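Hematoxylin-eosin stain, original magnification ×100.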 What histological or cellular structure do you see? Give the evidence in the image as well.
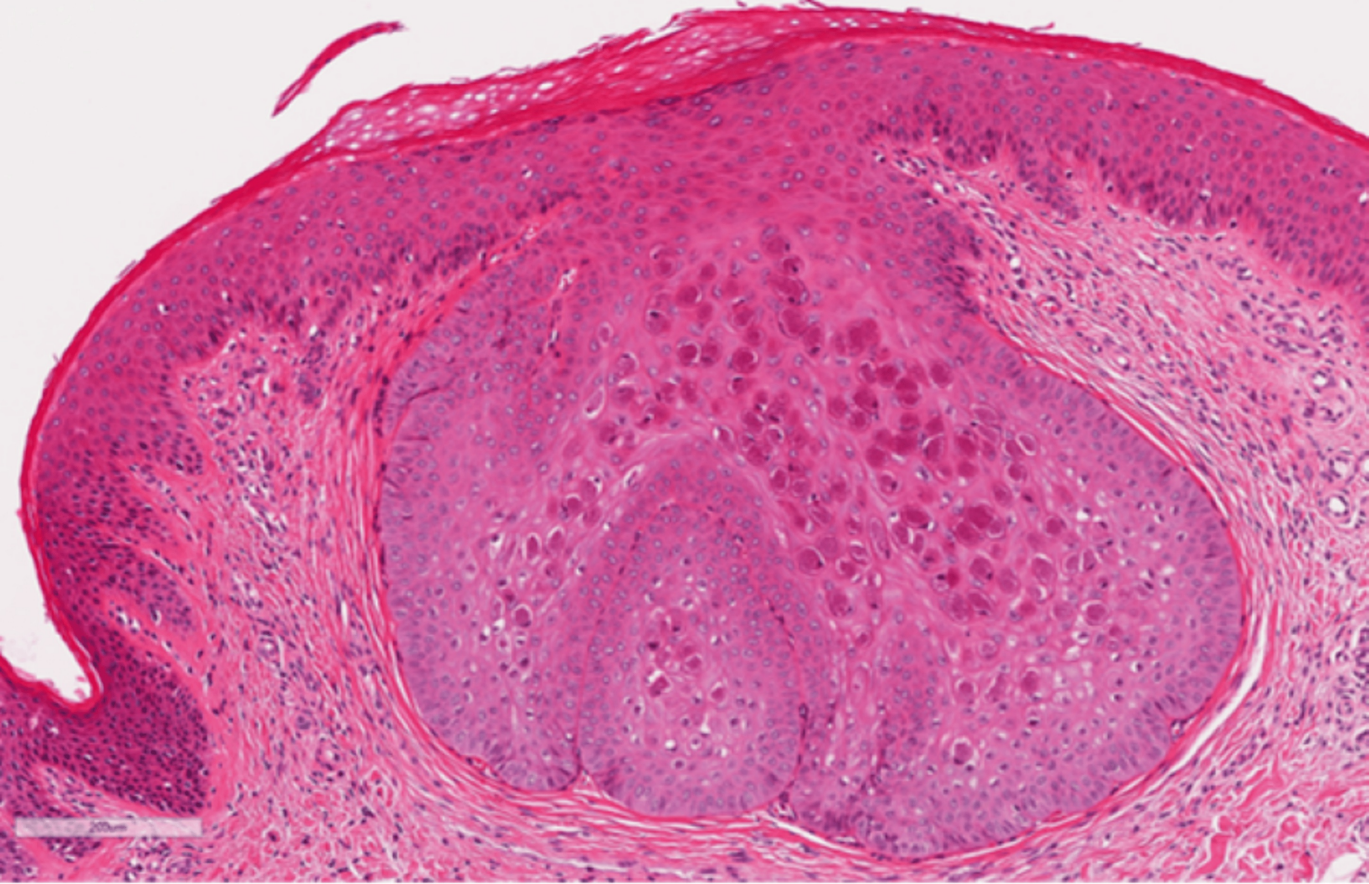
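Many large, round to oval, deep pink bodies fill the cells in the centre of a rounded epithelial lobule. The bodies are larger than the surrounding epithelial nuclei and push the cell contents aside. The lobule is a downgrowth of squamous epithelium surrounded by fibrous stroma. So: molluscum bodies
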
